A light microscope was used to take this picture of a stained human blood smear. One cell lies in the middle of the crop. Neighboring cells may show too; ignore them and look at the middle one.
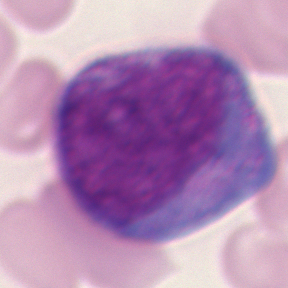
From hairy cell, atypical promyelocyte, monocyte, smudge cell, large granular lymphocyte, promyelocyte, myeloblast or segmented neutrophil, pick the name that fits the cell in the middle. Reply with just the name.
promyelocyte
